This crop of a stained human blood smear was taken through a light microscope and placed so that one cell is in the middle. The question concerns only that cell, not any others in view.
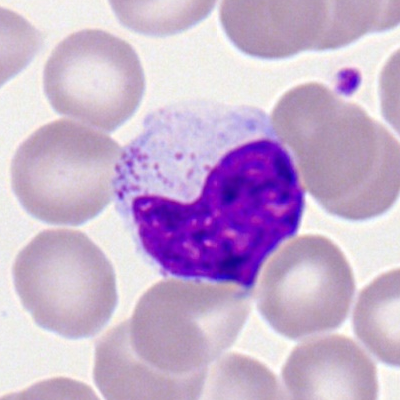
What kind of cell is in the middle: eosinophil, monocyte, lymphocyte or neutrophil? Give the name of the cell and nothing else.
lymphocyte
